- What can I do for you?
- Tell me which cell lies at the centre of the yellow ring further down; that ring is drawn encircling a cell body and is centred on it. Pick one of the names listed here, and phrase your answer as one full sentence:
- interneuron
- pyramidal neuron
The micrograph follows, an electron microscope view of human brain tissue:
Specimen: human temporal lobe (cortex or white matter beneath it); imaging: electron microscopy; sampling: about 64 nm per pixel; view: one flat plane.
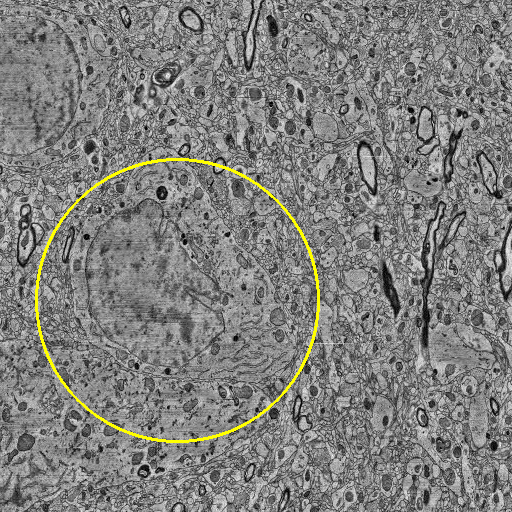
The cell whose body lies at the centre of the yellow ring is an interneuron.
